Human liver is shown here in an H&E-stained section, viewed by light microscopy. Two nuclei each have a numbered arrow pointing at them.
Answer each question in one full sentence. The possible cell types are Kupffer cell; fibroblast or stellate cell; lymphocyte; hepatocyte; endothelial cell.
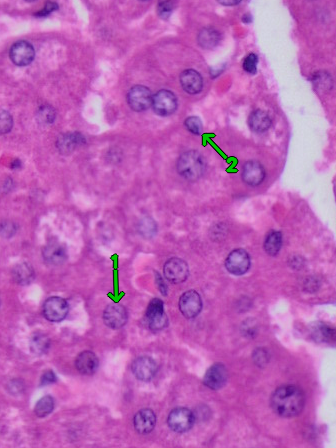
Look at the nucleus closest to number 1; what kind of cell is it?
Closest to number 1 lies the nucleus of a fibroblast or stellate cell.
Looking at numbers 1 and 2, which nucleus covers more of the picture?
Of the two, number 1 is bigger and takes up about 1.5 times the area of number 2.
